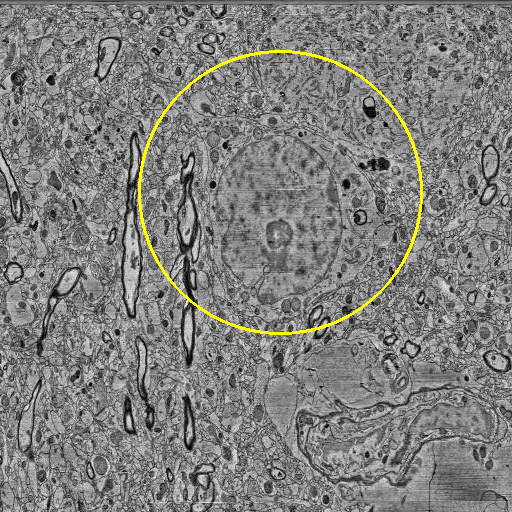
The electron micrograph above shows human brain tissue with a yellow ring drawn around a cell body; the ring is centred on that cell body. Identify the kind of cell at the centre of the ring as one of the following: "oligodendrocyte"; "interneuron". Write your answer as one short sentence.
The cell at the centre of the ring is an interneuron.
